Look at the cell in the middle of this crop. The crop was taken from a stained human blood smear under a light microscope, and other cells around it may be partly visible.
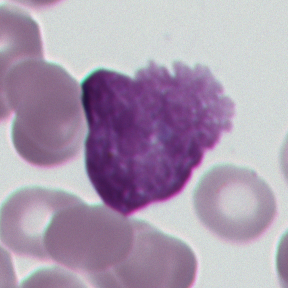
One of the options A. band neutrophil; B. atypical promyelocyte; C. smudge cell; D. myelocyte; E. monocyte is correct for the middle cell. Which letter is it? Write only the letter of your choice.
C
